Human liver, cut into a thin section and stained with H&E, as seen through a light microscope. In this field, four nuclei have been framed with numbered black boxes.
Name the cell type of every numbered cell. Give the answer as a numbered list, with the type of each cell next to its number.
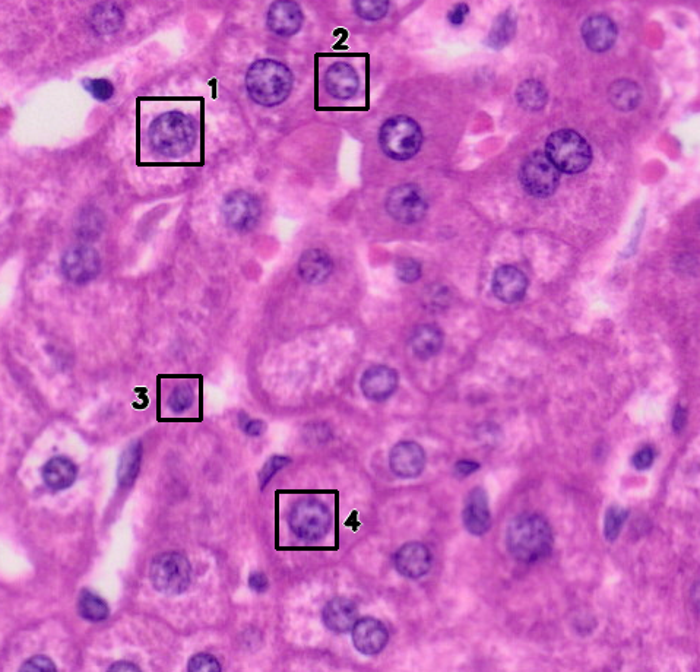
1. hepatocyte
2. hepatocyte
3. fibroblast or stellate cell
4. hepatocyte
